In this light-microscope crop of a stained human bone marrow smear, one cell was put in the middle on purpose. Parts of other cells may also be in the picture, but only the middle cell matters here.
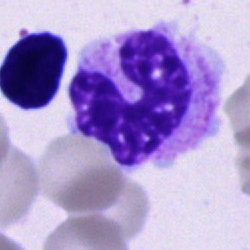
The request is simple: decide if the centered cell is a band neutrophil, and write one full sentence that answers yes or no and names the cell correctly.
Yes, the cell at the centre is designated a band neutrophil.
